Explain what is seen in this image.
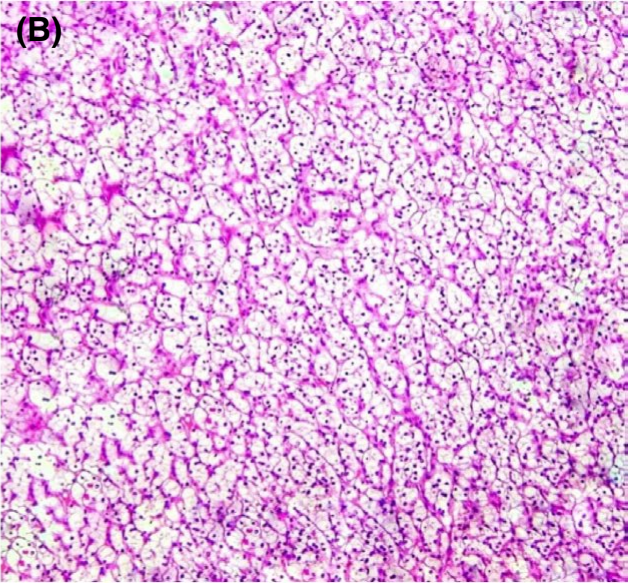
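At lower magnification, the field is filled with closely packed epithelial cells with clear cytoplasm, fine pink borders and small dark nuclei. They are grouped into small rounded nests outlined by thin, branching pink strands of vascular tissue. The pattern matches a clear-cell growth arranged in nests.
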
